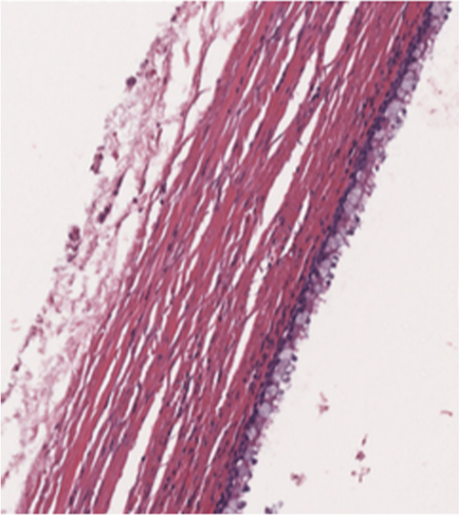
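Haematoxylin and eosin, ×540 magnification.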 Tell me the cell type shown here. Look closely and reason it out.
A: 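Goblet cells. Pale, clear, rounded cells with vacuolated cytoplasm sit within the epithelial lining on the right.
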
